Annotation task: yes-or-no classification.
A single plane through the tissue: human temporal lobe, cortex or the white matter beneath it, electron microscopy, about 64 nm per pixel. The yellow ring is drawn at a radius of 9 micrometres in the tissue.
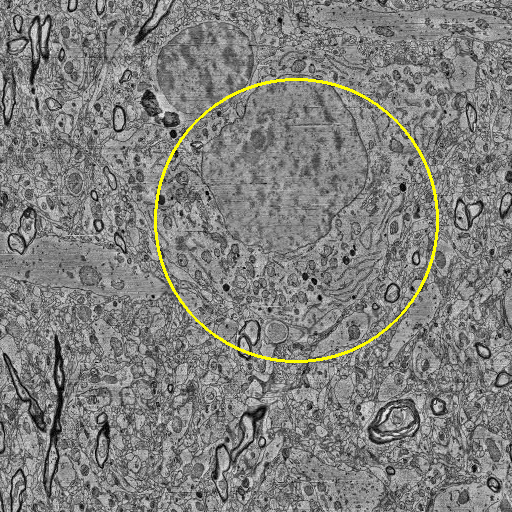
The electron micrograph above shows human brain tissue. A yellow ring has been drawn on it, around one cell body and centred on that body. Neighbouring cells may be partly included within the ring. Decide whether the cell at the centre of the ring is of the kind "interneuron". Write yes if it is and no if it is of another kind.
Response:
yes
